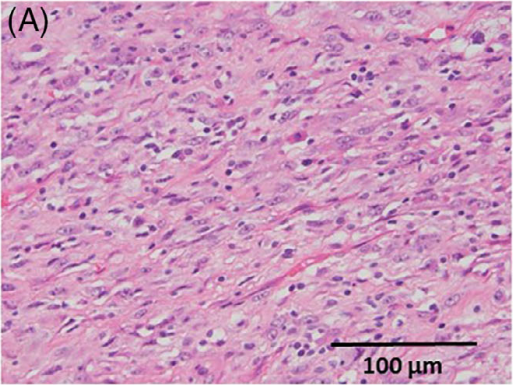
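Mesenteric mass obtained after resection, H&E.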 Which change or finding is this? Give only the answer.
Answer: mixed inflammatory infiltrate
